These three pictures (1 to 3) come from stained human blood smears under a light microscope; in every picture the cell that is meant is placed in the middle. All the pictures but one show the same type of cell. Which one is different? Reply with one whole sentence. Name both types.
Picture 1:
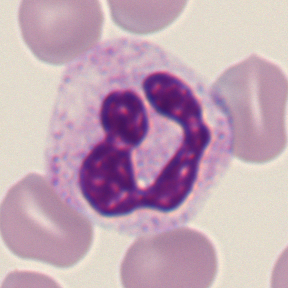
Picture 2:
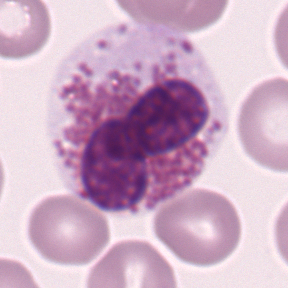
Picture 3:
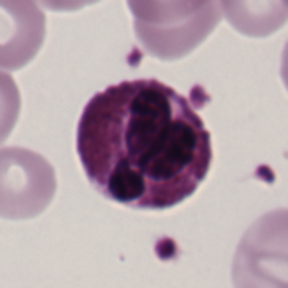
Picture 1 differs, because its cell is a segmented neutrophil and the rest are eosinophils.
